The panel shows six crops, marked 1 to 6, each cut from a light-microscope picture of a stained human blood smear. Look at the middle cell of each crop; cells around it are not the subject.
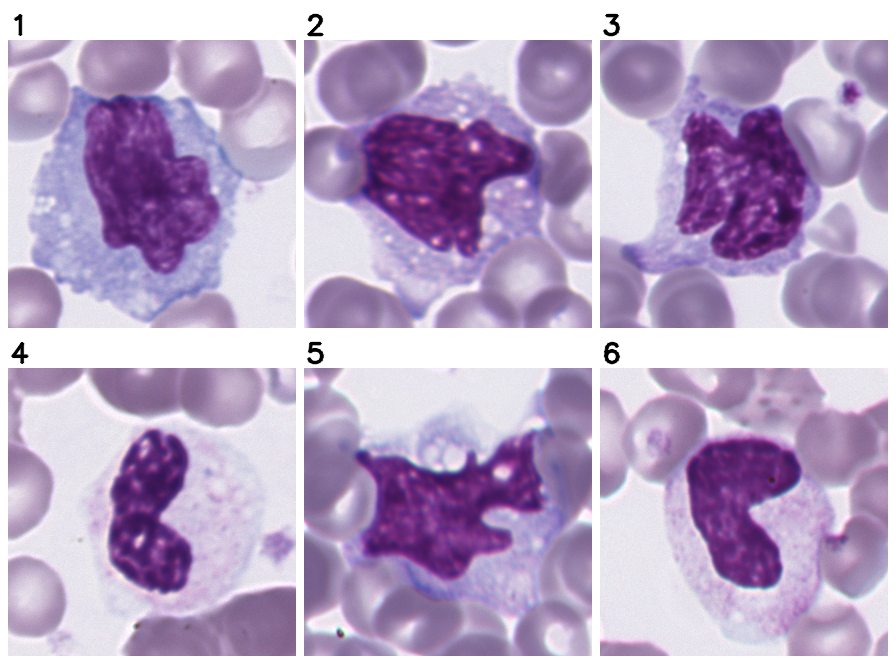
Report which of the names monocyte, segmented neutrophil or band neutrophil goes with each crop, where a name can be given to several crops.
1: monocyte
2: monocyte
3: monocyte
4: band neutrophil
5: monocyte
6: band neutrophil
